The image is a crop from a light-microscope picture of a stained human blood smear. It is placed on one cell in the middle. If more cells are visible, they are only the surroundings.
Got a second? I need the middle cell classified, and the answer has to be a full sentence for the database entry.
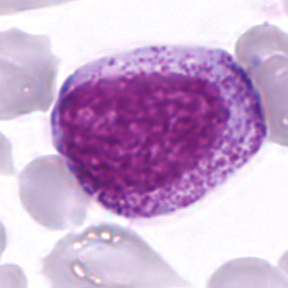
The cell featured at the centre of this crop is a promyelocyte.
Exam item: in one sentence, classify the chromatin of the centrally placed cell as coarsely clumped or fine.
The chromatin here is fine and lacks any coarse clumps.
